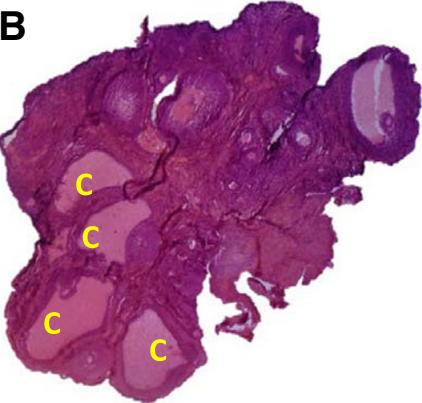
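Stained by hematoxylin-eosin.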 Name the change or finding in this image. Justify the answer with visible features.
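Several large rounded cavities filled with pale pink fluid cluster in one part of the section. The cavities are lined by only a thin rim of cells. Few solid round bodies of large pale cells are seen between the cavities. On this evidence: polycystic ovary.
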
